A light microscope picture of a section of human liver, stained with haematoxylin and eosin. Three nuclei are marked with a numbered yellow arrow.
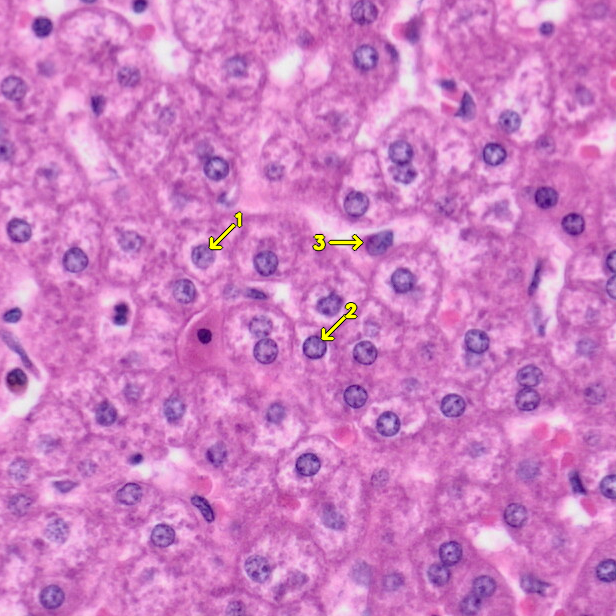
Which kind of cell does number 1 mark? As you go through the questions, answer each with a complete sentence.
The correct label for cell 1 is a hepatocyte.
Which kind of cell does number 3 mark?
To a Kupffer cell belongs the nucleus marked 3.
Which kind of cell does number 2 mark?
The cell bearing label 2 corresponds to a hepatocyte.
